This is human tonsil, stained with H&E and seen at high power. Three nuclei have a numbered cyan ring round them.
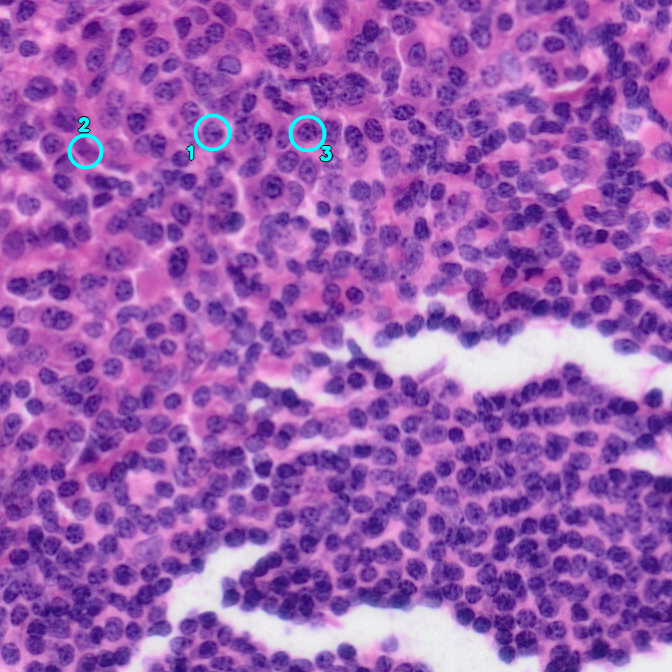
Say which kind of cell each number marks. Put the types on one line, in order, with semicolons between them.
plasma cell; squamous epithelial cell; plasma cell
